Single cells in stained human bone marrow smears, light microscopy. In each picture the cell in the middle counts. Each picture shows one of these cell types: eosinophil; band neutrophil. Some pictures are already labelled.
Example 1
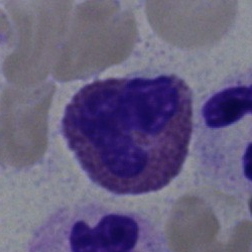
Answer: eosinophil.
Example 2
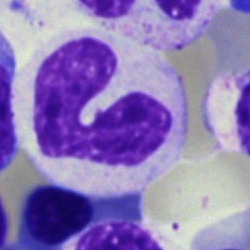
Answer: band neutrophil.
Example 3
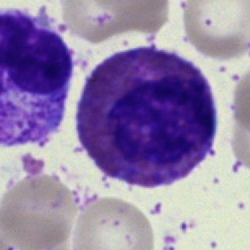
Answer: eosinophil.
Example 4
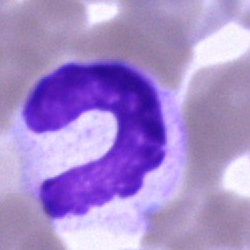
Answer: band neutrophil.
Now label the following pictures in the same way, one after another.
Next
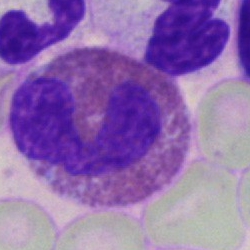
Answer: eosinophil.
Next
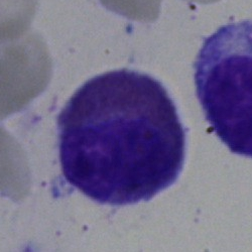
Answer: eosinophil.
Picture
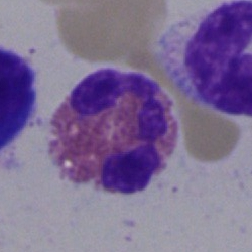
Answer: eosinophil.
